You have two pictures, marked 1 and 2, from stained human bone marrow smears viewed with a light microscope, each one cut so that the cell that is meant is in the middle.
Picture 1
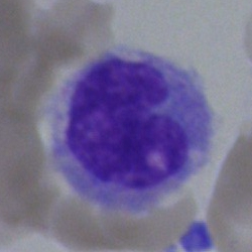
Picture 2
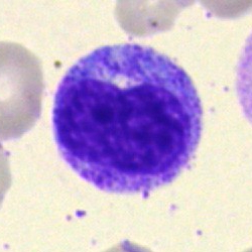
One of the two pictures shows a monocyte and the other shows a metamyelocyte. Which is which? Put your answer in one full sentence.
In picture 1 the cell is a monocyte; in picture 2, a metamyelocyte.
